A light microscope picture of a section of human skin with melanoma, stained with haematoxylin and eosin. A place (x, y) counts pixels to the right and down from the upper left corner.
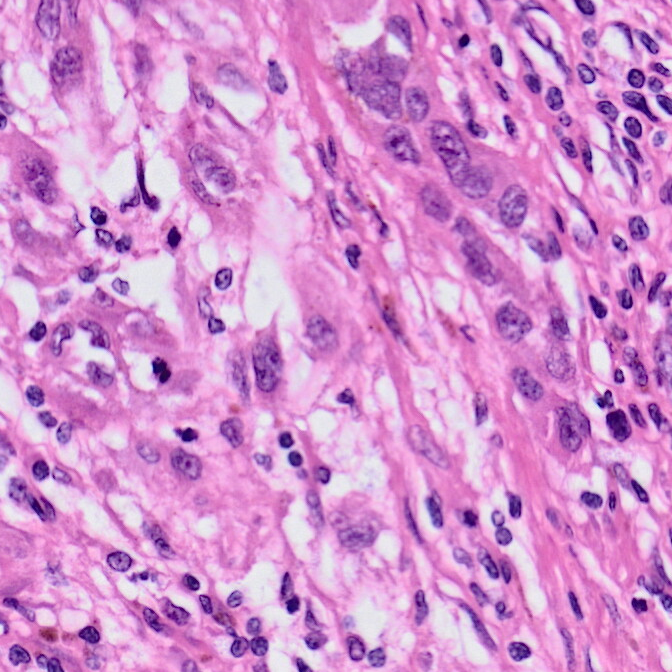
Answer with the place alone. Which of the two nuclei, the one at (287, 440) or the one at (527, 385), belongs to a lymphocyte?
(287, 440)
